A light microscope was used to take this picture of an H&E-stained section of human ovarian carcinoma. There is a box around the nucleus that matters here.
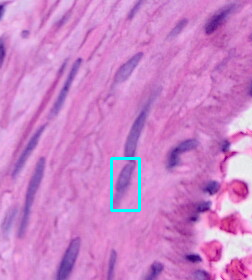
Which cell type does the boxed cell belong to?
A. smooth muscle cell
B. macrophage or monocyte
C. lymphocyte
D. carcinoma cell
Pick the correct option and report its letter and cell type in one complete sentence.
With the boxed cell being a smooth muscle cell, option A is correct.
